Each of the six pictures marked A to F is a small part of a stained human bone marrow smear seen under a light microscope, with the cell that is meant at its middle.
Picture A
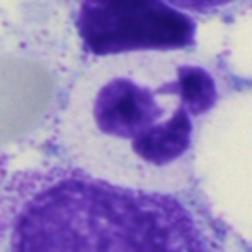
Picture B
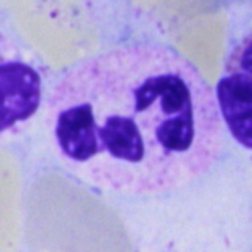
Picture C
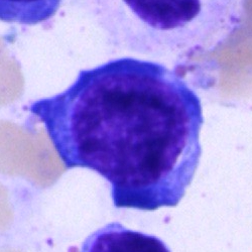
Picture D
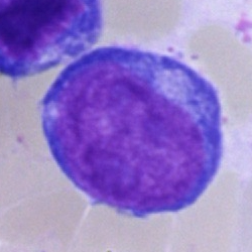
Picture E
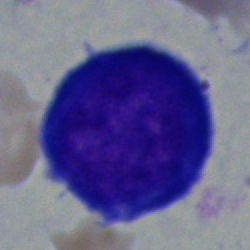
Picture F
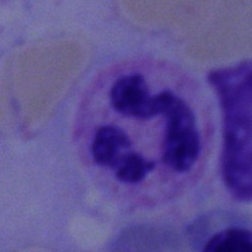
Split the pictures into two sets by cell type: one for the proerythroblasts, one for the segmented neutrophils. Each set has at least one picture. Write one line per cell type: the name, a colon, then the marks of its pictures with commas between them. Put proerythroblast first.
proerythroblast: C, D, E
segmented neutrophil: A, B, F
